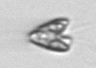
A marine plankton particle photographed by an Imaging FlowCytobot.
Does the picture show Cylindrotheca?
No, it shows Pyramimonas.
